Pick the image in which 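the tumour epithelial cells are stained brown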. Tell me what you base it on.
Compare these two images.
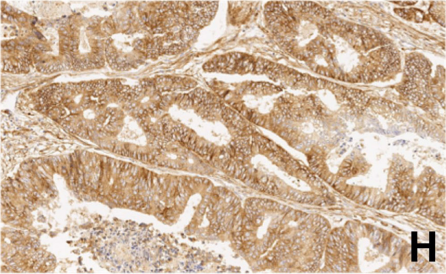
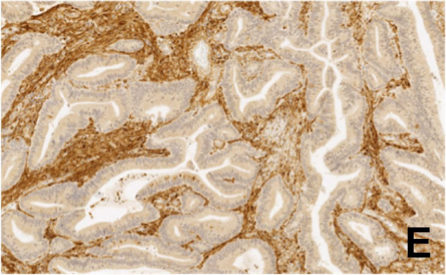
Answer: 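First image: the cells lining the tumour glands have brown cytoplasm, as strong as the stroma. Second image: the gland-lining cells are pale, while the stroma between glands is deep brown.
Answer: the first image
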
